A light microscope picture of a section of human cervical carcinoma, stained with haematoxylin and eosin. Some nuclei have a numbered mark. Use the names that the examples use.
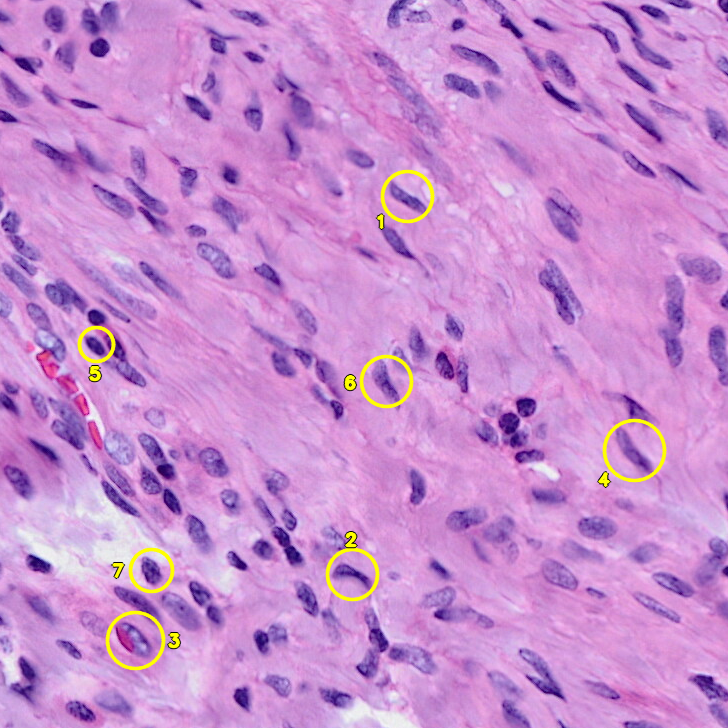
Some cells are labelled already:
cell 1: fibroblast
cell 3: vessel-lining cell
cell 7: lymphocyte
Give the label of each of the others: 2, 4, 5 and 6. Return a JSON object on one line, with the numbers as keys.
{"2": "fibroblast", "4": "fibroblast", "5": "lymphocyte", "6": "fibroblast"}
